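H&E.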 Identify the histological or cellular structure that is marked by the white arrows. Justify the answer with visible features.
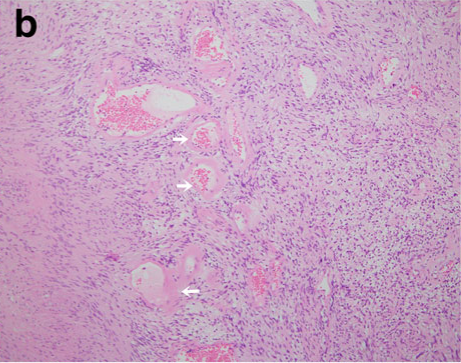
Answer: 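Hyalinized vessels. The white arrows point to vessels with thick, glassy pink walls. Several vessel lumina contain red blood cells.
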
